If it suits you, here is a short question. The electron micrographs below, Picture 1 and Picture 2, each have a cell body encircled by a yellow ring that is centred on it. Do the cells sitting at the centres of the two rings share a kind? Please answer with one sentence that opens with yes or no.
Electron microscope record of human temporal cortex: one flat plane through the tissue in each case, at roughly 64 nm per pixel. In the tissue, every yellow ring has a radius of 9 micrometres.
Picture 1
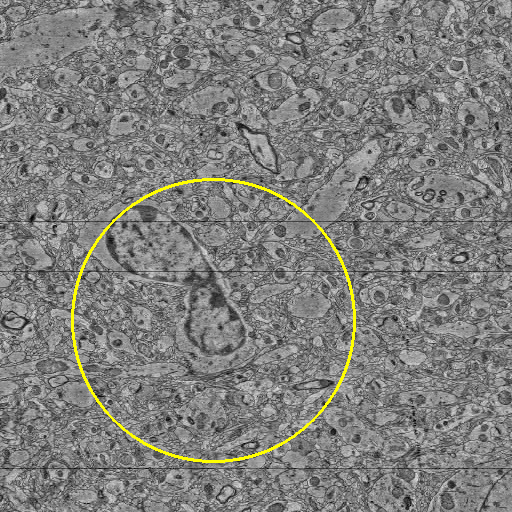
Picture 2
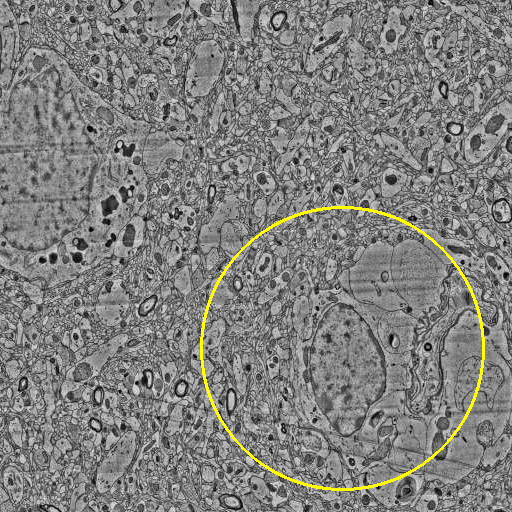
Yes, the two cells sitting at the ring centres share a single kind.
